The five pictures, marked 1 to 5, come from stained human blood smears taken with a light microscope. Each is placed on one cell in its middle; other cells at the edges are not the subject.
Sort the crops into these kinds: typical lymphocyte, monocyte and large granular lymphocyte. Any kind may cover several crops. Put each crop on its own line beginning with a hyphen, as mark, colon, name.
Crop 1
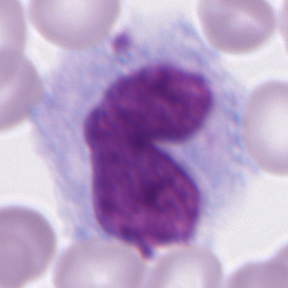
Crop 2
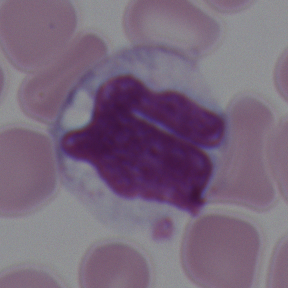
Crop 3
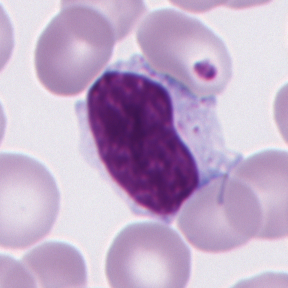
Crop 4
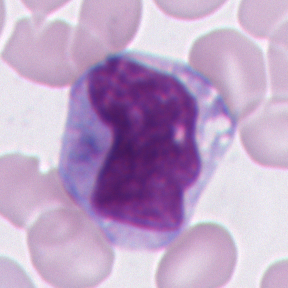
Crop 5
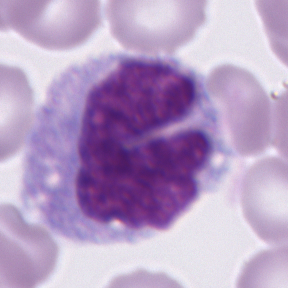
- 1: monocyte
- 2: monocyte
- 3: large granular lymphocyte
- 4: monocyte
- 5: monocyte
